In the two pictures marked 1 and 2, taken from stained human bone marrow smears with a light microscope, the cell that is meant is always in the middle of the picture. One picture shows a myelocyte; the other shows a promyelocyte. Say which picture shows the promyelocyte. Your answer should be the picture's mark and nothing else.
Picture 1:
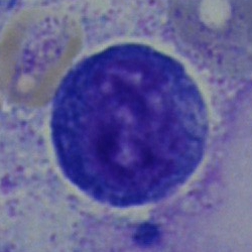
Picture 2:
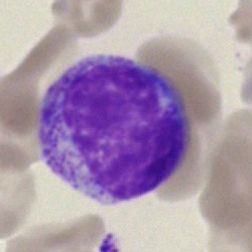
1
